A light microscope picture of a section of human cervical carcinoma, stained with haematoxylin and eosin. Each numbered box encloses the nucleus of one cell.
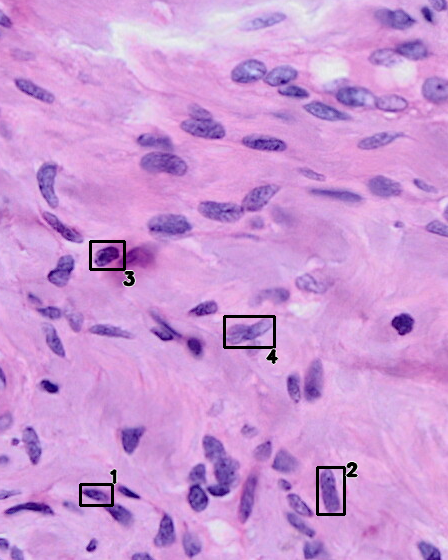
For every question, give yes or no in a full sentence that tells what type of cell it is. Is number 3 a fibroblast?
No, the cell identified by number 3 is a lymphocyte, not a fibroblast.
